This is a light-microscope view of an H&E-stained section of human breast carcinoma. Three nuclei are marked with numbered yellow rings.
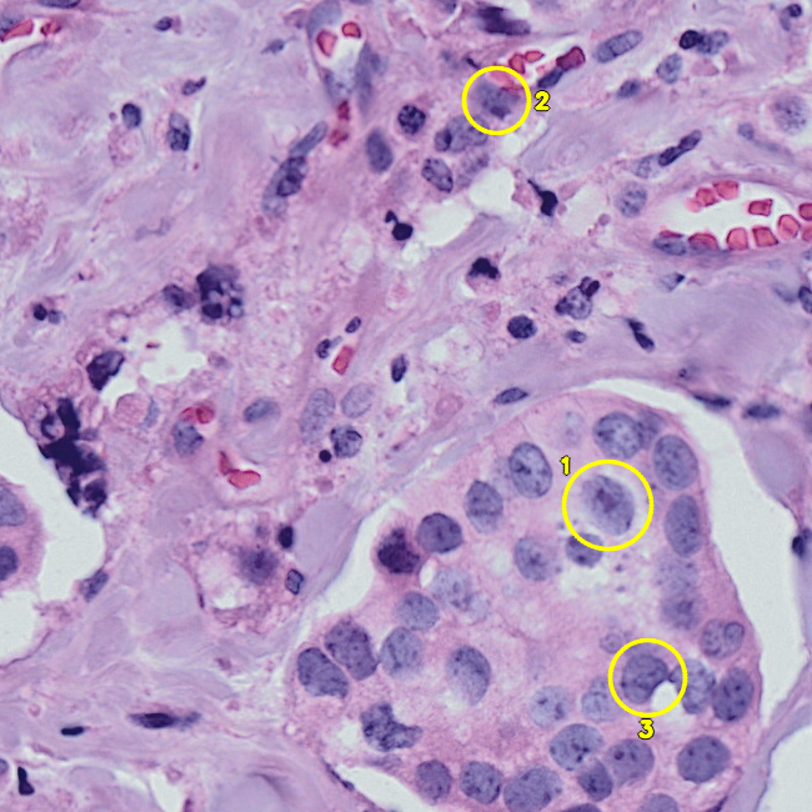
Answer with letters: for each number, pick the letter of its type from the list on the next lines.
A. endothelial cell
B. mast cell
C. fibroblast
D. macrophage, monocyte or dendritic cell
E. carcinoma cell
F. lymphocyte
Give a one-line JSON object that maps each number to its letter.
{"1": "E", "2": "A", "3": "E"}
